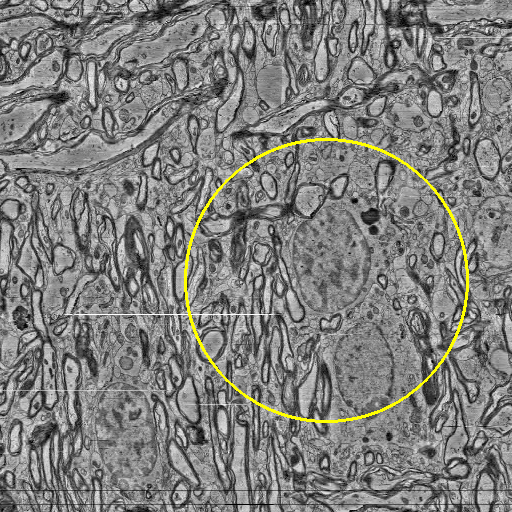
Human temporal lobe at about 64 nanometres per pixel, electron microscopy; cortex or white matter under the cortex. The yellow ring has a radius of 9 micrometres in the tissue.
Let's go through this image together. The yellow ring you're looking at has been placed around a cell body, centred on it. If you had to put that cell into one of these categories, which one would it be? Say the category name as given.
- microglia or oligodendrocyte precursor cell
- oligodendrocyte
oligodendrocyte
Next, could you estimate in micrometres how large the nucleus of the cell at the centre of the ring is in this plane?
Approximately 7 micrometres long and 5 micrometres wide, in this plane.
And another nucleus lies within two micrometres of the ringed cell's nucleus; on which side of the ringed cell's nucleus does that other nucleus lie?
That other nucleus sits below it.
